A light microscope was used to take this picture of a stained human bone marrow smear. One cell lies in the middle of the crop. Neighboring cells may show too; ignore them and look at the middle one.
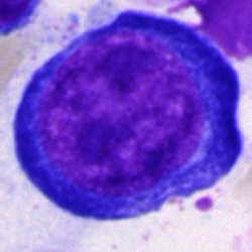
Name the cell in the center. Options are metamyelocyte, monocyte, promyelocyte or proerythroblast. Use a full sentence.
Occupying the centre of the crop is a proerythroblast.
